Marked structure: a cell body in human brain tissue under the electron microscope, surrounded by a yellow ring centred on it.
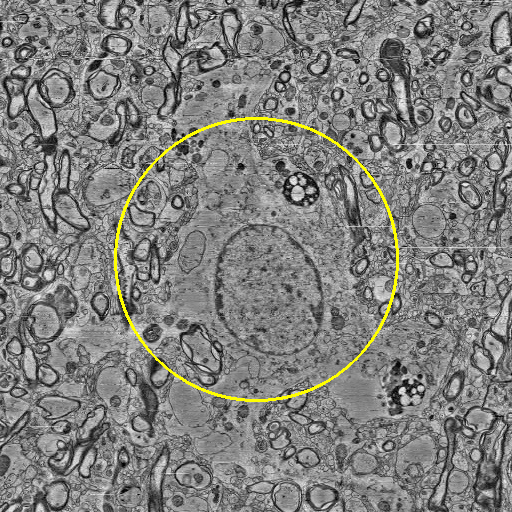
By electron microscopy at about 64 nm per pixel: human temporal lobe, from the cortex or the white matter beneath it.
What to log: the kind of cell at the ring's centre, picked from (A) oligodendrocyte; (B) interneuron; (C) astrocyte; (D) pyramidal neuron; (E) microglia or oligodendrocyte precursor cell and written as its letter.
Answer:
C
